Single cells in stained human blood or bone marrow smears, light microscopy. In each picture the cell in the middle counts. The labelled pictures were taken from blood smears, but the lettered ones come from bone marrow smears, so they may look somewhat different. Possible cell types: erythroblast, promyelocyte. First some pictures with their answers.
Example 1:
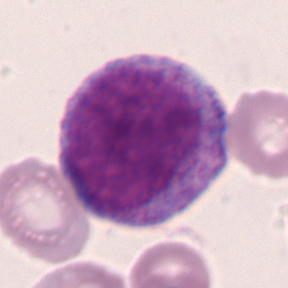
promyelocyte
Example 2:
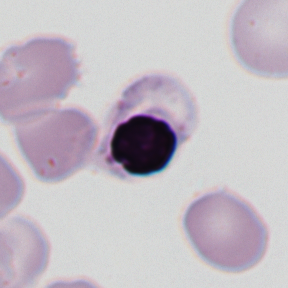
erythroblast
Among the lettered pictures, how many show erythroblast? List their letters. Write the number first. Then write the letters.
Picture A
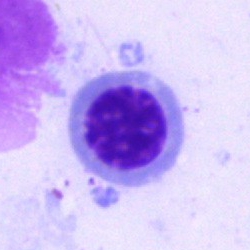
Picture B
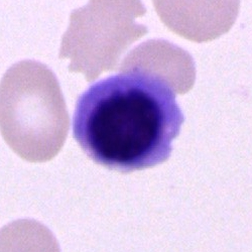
2: A, B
